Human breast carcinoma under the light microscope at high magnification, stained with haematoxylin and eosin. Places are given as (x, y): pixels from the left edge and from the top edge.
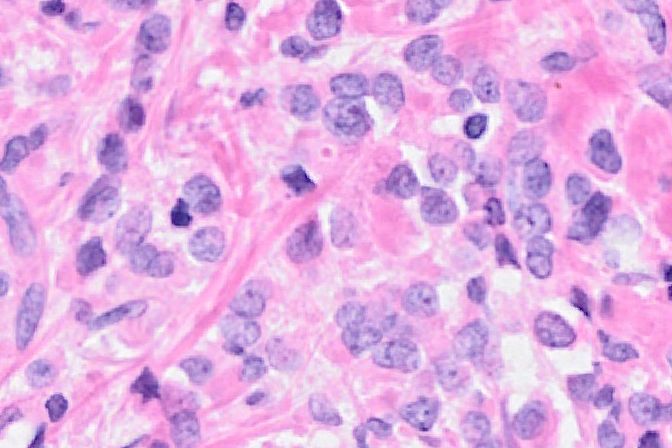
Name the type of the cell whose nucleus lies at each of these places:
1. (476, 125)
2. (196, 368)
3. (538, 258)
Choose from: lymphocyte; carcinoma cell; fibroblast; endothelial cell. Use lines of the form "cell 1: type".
cell 1: lymphocyte
cell 2: carcinoma cell
cell 3: carcinoma cell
